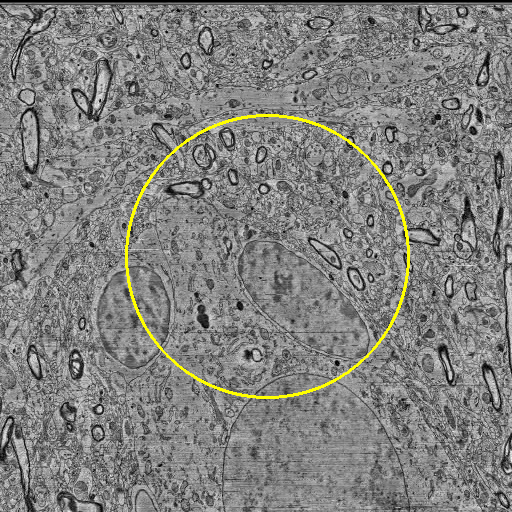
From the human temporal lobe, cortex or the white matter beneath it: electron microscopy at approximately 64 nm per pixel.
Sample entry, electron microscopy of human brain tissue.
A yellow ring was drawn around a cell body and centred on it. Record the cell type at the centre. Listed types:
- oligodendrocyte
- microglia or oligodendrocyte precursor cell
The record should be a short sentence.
The cell at the ring's centre is a microglial cell or oligodendrocyte precursor cell.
